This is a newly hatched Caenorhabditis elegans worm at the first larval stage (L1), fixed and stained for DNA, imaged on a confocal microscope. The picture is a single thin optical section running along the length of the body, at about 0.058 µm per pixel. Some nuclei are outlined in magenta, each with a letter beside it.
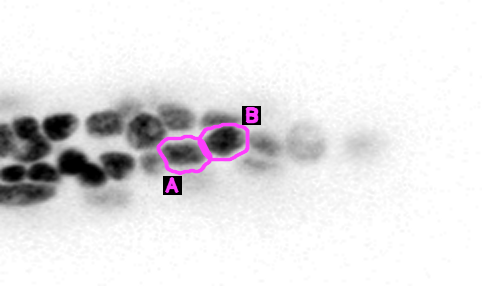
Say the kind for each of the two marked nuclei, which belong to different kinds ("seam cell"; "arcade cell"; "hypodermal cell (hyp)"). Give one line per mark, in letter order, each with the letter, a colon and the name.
A: arcade cell
B: hypodermal cell (hyp)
